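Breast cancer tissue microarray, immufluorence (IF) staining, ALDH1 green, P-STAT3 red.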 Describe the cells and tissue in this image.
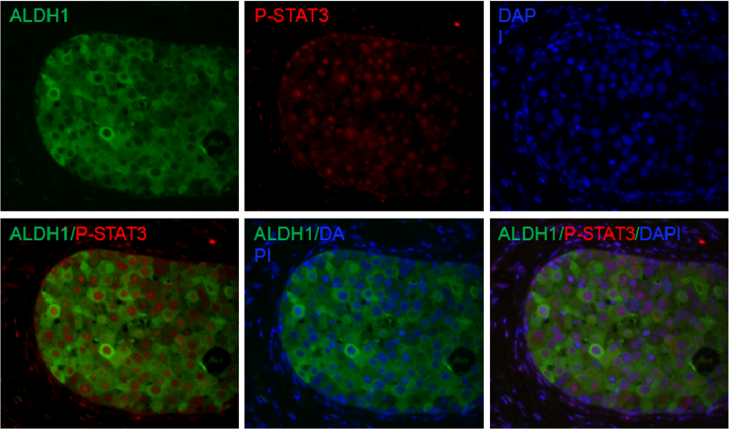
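The green colour fills the cytoplasm of closely packed polygonal tumor cells, leaving round dark spaces where the nuclei lie; a few cells show a brighter green rim. The red colour forms small round dots that match the blue nuclei, so it lies in the nuclei. In the overlays, red nuclei sit inside green cell bodies throughout the core, while the surrounding tissue outside the core shows scattered blue nuclei with little green.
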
